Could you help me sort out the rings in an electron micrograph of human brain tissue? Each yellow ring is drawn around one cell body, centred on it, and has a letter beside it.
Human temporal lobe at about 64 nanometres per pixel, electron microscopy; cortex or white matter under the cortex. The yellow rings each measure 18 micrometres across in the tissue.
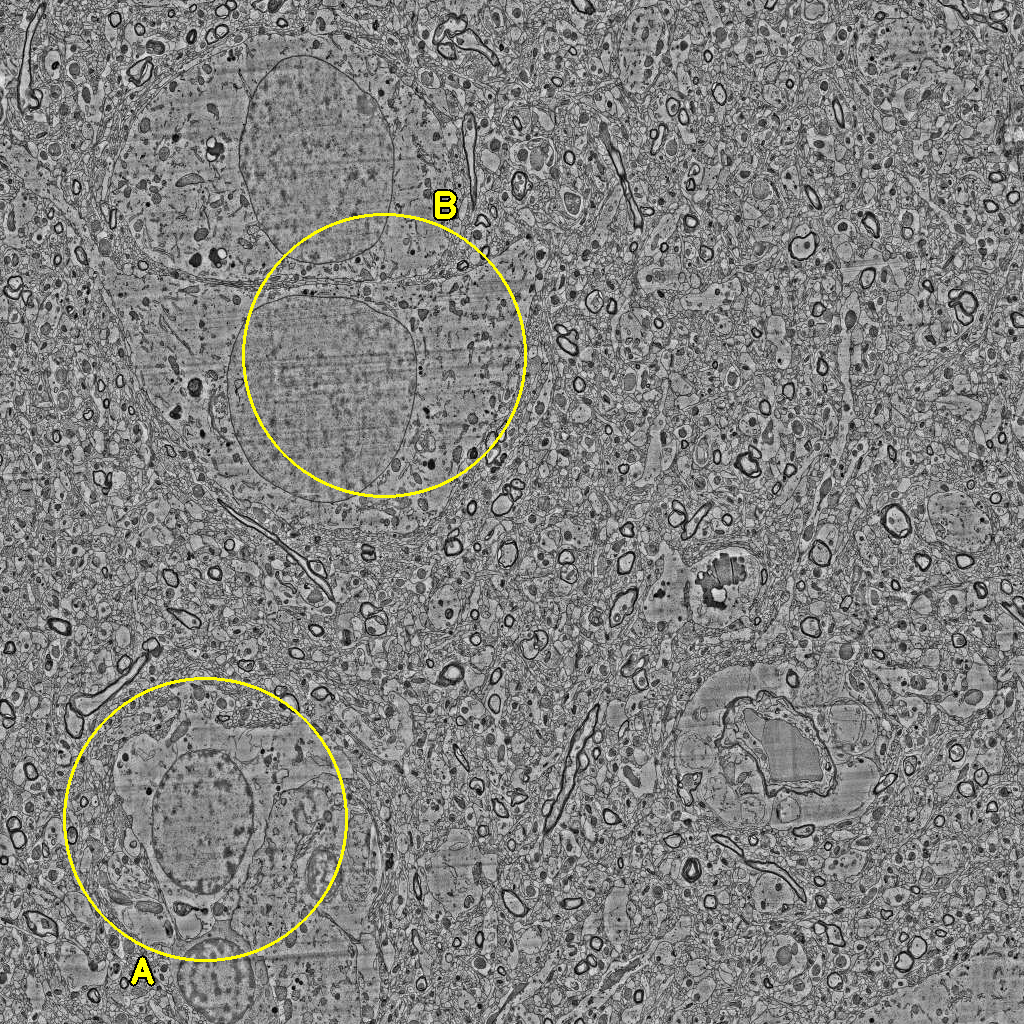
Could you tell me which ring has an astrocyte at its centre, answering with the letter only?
A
